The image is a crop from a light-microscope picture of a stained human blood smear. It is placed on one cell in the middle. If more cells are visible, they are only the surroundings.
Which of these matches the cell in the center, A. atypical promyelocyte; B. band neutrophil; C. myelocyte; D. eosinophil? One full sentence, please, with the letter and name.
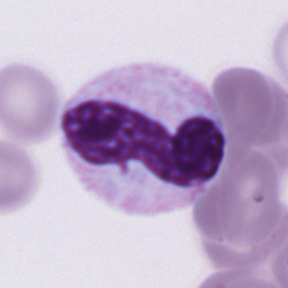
Option B is correct, naming the cell in the middle as a band neutrophil.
